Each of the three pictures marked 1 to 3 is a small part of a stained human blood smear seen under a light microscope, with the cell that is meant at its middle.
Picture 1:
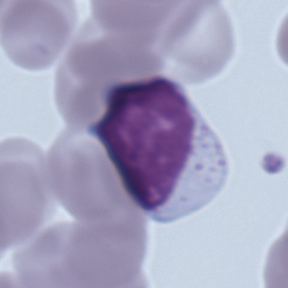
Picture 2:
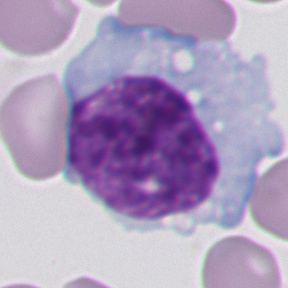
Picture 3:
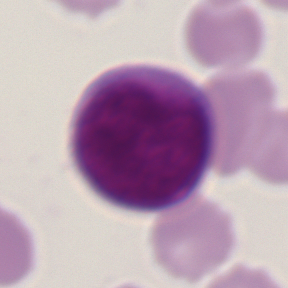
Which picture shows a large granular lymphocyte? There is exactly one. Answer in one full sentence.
The large granular lymphocyte is the one in picture 1.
